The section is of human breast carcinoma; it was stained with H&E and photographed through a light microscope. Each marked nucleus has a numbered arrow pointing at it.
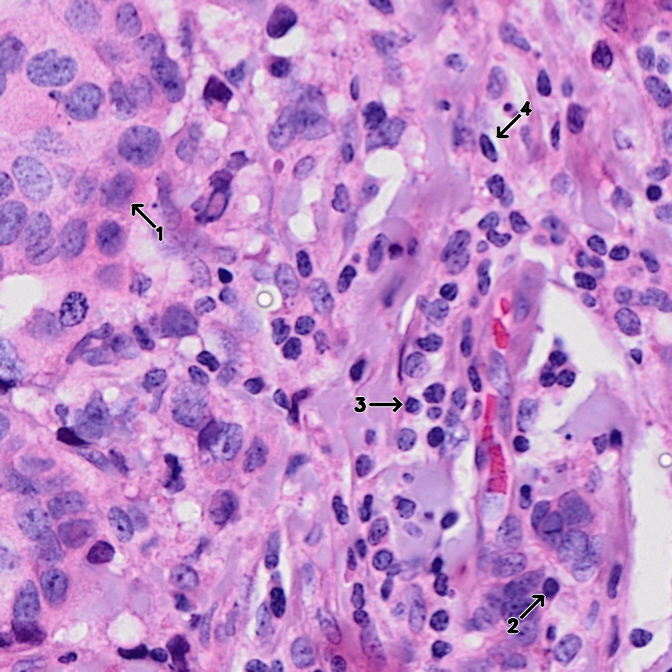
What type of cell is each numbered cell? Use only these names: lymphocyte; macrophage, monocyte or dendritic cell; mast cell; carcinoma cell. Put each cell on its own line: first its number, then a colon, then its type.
1: carcinoma cell
2: lymphocyte
3: lymphocyte
4: lymphocyte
